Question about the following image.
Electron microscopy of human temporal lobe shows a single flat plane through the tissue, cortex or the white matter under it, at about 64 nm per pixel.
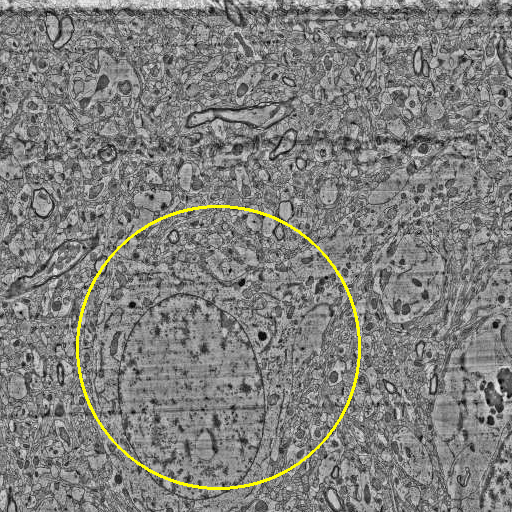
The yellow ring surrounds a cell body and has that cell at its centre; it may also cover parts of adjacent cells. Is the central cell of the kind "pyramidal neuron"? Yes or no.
Yes, it is of that kind.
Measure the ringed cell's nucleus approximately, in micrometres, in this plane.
The nucleus comes to roughly 13 by 9 micrometres in this plane.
